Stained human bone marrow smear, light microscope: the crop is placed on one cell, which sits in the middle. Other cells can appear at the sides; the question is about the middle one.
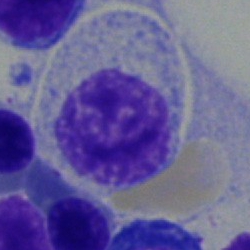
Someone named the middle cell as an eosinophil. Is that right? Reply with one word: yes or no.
no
